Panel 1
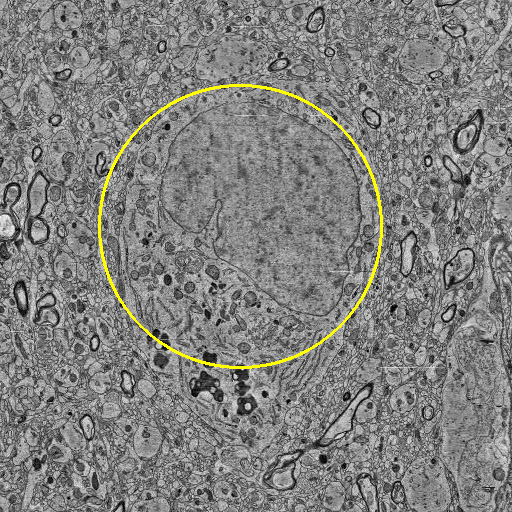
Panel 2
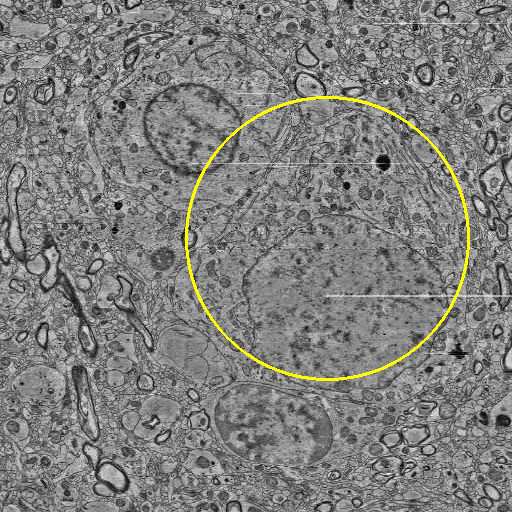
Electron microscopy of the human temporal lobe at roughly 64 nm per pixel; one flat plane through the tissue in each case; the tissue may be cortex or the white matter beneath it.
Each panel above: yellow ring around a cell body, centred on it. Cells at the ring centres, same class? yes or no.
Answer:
yes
